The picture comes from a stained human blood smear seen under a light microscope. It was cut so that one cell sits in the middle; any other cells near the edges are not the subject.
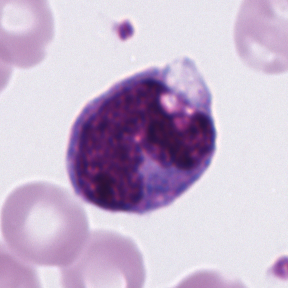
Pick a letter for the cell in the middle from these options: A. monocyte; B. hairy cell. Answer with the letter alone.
A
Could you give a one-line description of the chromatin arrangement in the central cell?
Heads up, the chromatin in this one is coarsely clumped.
